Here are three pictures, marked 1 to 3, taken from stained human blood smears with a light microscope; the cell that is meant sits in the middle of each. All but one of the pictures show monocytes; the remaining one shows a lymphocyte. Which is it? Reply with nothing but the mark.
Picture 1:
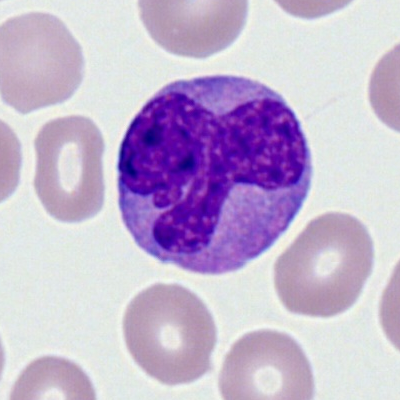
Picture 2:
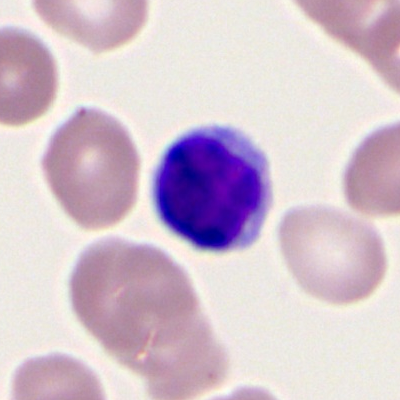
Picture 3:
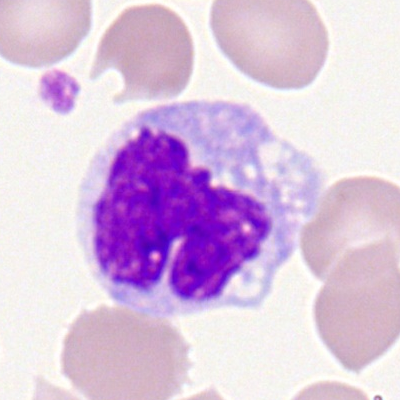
2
